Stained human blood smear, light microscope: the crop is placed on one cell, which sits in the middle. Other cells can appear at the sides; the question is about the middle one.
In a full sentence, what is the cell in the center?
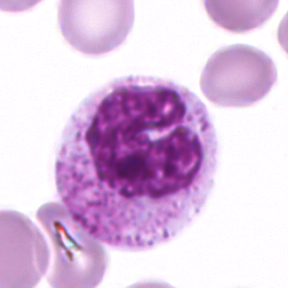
The identification for the central cell is a band neutrophil.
